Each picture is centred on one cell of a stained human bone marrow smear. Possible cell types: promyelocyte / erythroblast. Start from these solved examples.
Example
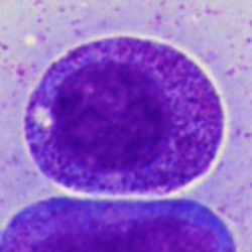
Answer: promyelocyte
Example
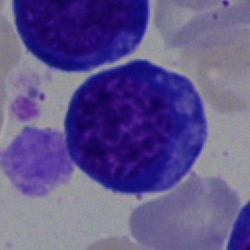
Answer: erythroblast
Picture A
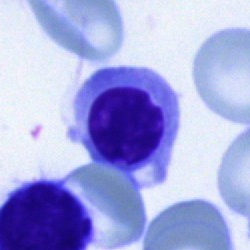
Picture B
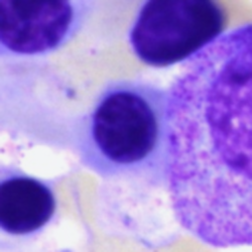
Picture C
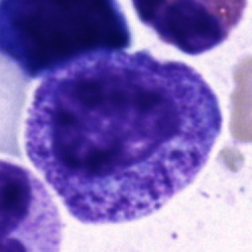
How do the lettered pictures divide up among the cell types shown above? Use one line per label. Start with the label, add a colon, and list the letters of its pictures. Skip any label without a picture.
promyelocyte: C
erythroblast: A, B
